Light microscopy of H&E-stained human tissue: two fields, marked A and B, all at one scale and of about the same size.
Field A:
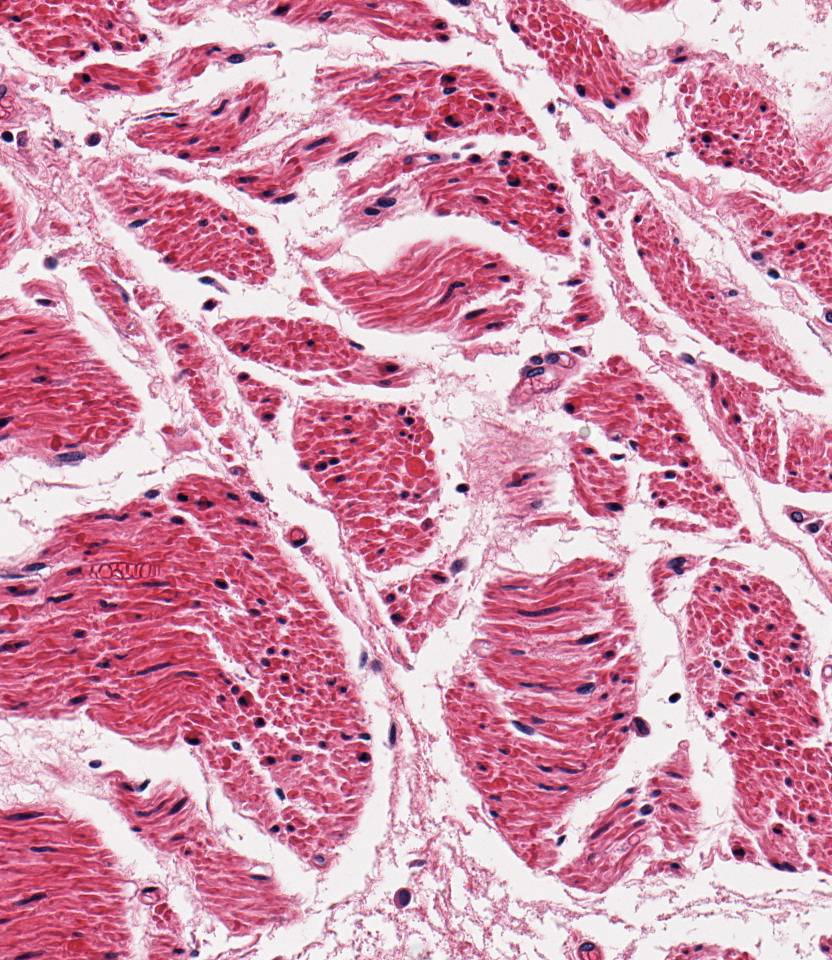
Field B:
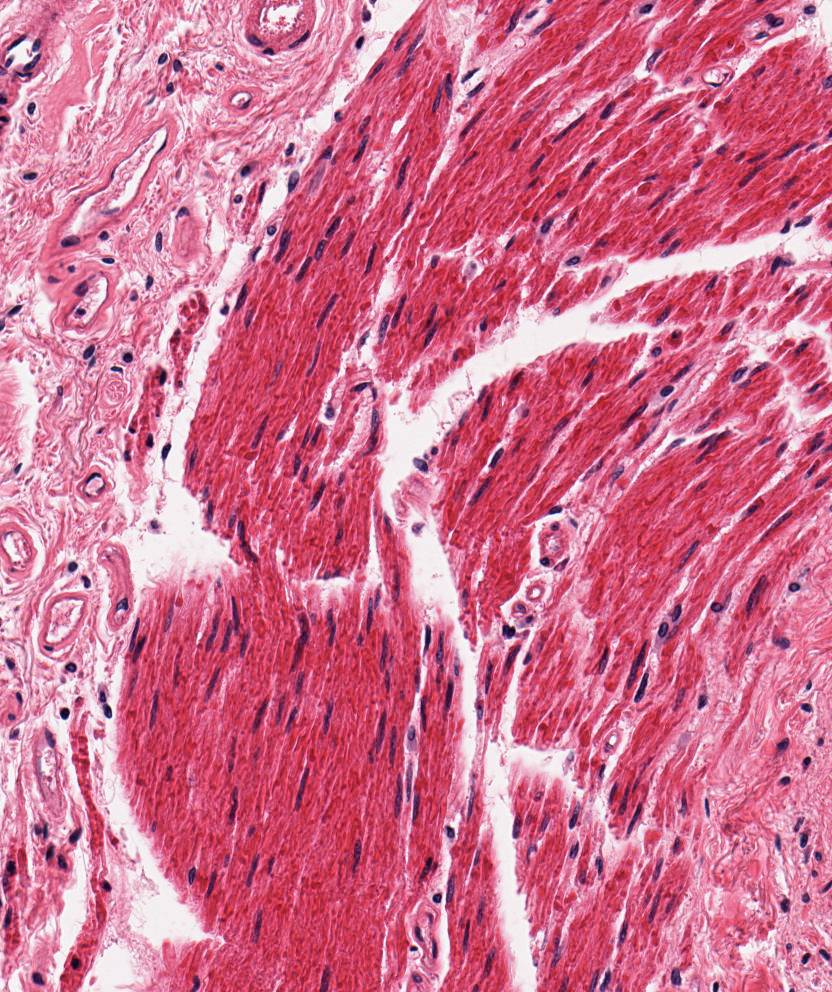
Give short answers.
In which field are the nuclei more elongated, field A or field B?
B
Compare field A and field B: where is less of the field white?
B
